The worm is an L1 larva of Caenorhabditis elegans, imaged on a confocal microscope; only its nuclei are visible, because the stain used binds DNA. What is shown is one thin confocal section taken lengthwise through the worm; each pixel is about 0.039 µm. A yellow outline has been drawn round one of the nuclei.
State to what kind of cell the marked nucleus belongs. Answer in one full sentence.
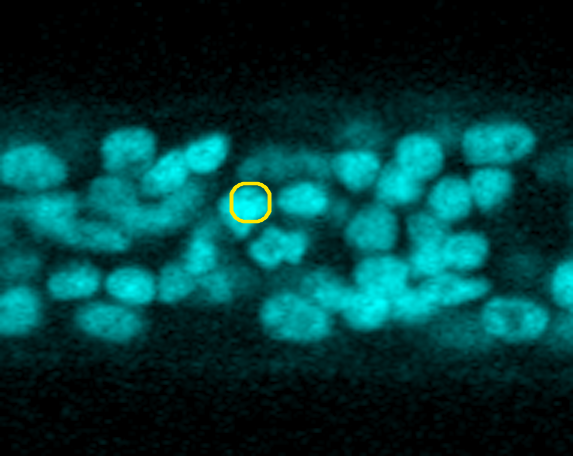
The nucleus comes from a neuron.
